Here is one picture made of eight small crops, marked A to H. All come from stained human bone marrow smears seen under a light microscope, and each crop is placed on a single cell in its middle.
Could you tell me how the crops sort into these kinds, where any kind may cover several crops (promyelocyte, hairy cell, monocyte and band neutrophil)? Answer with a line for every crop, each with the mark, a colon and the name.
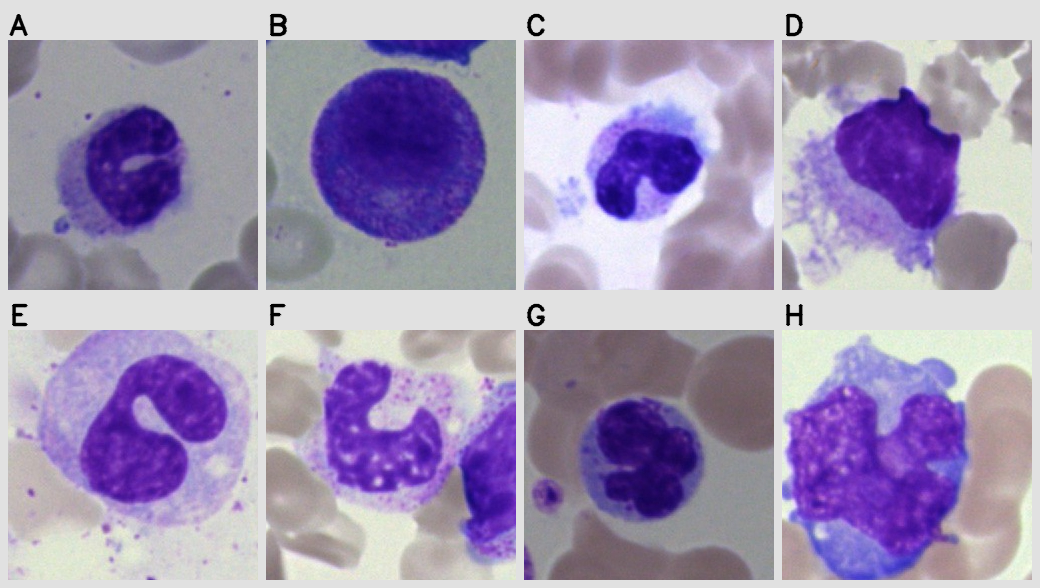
A: band neutrophil
B: promyelocyte
C: band neutrophil
D: hairy cell
E: monocyte
F: band neutrophil
G: monocyte
H: monocyte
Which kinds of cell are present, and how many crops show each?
band neutrophil: 3
monocyte: 3
promyelocyte: 1
hairy cell: 1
